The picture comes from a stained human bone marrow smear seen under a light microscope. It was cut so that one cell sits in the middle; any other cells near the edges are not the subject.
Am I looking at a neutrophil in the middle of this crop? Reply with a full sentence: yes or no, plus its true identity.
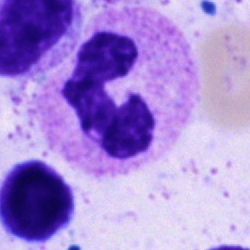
Yes, the cell that the crop is centred on is a neutrophil.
